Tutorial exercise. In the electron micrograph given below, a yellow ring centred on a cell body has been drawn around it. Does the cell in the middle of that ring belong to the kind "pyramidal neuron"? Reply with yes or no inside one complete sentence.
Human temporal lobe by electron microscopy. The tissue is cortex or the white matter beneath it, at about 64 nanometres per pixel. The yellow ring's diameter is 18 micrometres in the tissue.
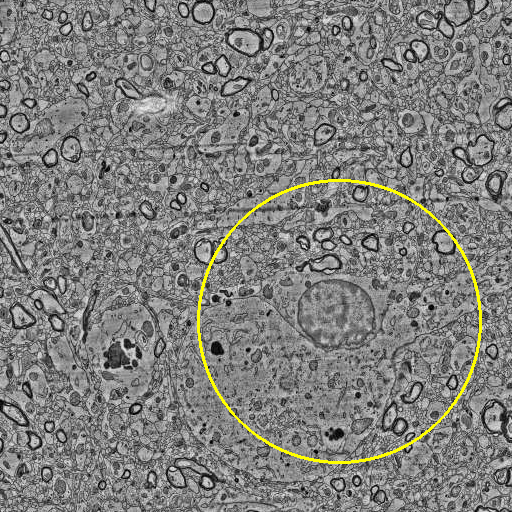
No, the cell at the centre of the ring in the picture is of a different kind.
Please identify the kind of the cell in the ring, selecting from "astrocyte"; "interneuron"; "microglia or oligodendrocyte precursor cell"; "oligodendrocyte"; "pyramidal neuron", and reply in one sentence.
The cell circled by the yellow ring is an oligodendrocyte.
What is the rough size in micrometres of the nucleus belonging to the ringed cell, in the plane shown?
The nucleus of the ringed cell is approximately 5 micrometres across in this plane.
